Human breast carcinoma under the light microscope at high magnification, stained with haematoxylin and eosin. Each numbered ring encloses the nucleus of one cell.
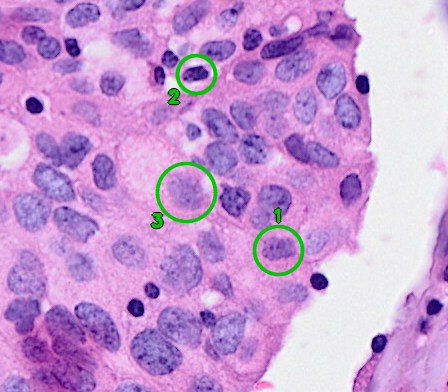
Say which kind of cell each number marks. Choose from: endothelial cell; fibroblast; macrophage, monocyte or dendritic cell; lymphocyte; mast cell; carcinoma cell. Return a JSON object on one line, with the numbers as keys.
{"1": "carcinoma cell", "2": "lymphocyte", "3": "carcinoma cell"}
